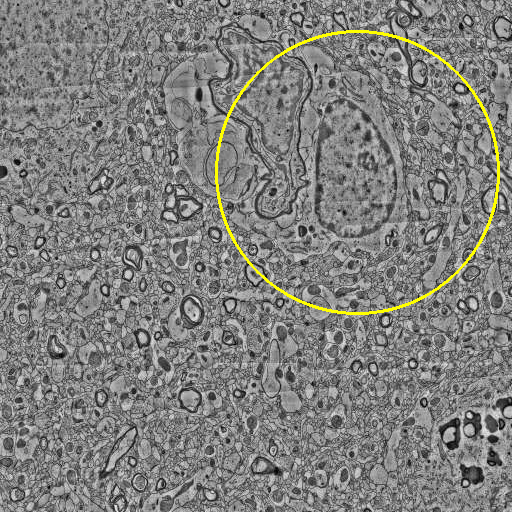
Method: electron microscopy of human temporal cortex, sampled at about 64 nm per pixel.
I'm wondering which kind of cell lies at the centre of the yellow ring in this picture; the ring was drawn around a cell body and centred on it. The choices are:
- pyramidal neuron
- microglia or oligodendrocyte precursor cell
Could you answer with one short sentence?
At the centre of the ring lies a microglial cell or oligodendrocyte precursor cell.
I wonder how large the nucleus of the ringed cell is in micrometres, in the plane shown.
In this plane the nucleus is clearly longer than it is wide, at approximately 9 by 5 micrometres.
